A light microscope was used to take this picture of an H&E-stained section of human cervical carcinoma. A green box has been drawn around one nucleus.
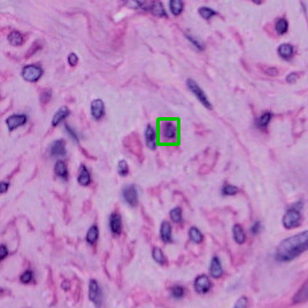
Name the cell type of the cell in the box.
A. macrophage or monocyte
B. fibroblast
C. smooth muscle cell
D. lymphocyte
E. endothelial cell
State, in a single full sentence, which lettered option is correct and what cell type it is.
Best answer: option C, with the cell in the box being a smooth muscle cell.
